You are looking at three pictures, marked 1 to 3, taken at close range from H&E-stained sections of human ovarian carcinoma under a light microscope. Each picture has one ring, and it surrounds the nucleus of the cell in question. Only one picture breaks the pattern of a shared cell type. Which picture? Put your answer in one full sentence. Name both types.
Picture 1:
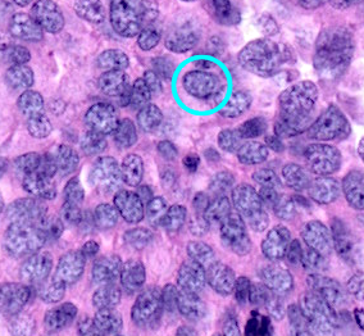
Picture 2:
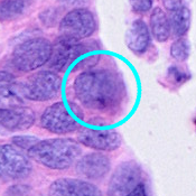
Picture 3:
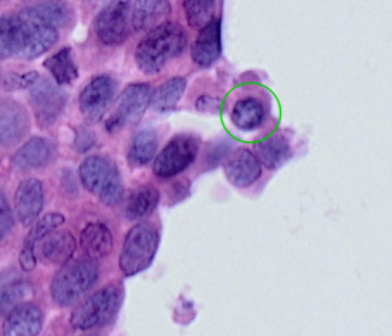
Picture 3 differs, because its cell is a “macrophage or monocyte” and the rest are carcinoma cells.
